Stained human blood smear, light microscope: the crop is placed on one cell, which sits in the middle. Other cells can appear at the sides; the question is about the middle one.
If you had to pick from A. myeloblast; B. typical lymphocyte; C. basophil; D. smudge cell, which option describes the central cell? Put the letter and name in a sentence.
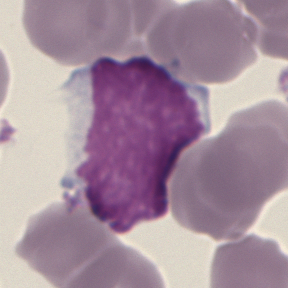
The cell centred in the crop is a typical lymphocyte, and the correct option is thus B.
